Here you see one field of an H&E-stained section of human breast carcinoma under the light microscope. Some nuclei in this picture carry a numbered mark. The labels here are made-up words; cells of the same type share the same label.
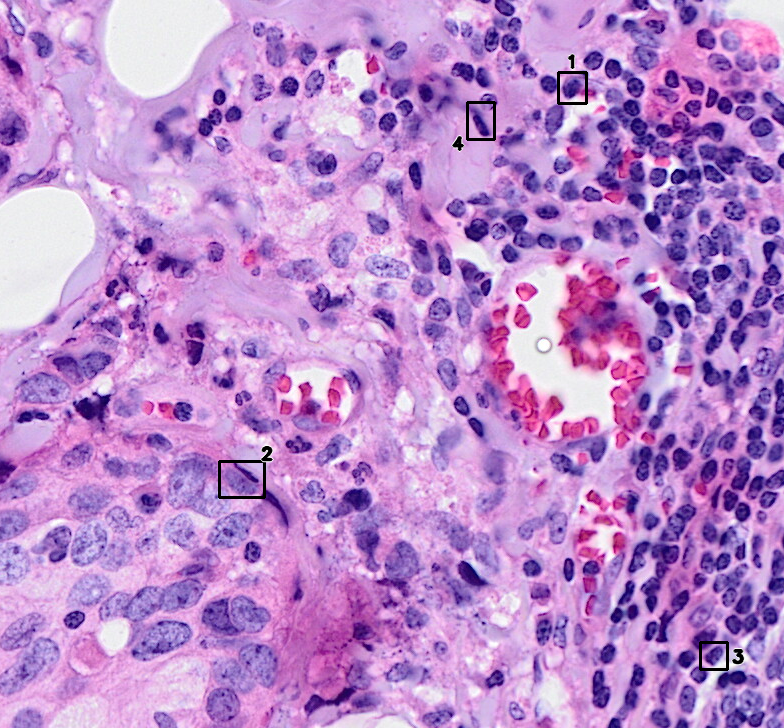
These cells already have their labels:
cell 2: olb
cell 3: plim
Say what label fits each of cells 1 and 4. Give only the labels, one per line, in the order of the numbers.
plim
plim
